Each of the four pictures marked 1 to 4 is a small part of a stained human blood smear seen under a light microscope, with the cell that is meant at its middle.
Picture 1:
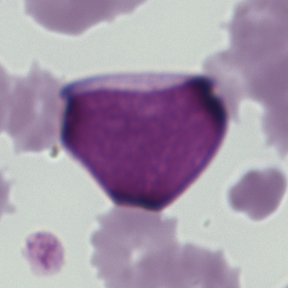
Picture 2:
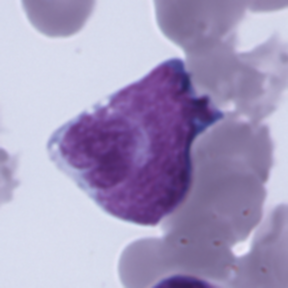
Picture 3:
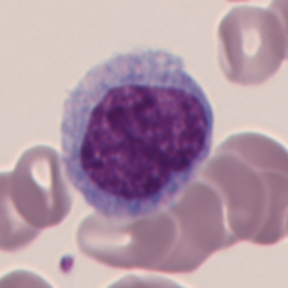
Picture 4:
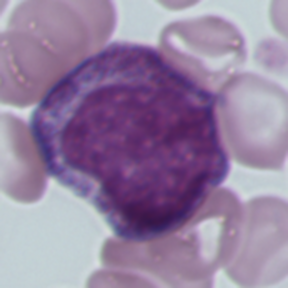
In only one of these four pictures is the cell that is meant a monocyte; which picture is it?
3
